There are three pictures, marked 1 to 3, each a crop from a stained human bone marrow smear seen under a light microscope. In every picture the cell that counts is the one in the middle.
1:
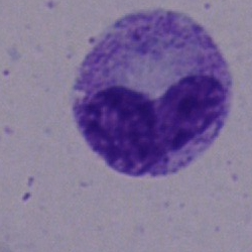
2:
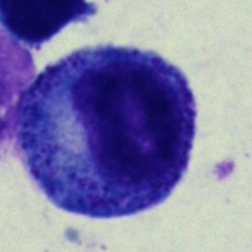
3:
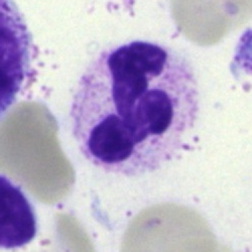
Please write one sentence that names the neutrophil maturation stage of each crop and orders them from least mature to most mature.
In sequence of increasing maturity, the order is crop 2 (a promyelocyte), crop 1 (a band neutrophil) and crop 3 (a segmented neutrophil).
